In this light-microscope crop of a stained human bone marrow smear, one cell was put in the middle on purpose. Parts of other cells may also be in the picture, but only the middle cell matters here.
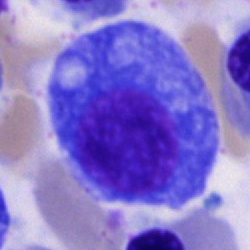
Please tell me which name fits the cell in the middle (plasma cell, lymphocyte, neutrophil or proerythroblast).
plasma cell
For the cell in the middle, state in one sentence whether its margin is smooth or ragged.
Smooth all around, the outline has no projections to report.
